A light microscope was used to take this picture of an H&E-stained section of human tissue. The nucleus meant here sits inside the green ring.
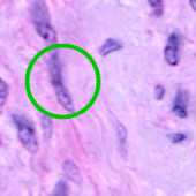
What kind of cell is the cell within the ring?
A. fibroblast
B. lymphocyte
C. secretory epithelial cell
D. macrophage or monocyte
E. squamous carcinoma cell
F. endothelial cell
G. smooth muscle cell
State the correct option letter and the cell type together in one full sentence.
The item is answered by option G: the cell within the ring is a smooth muscle cell.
